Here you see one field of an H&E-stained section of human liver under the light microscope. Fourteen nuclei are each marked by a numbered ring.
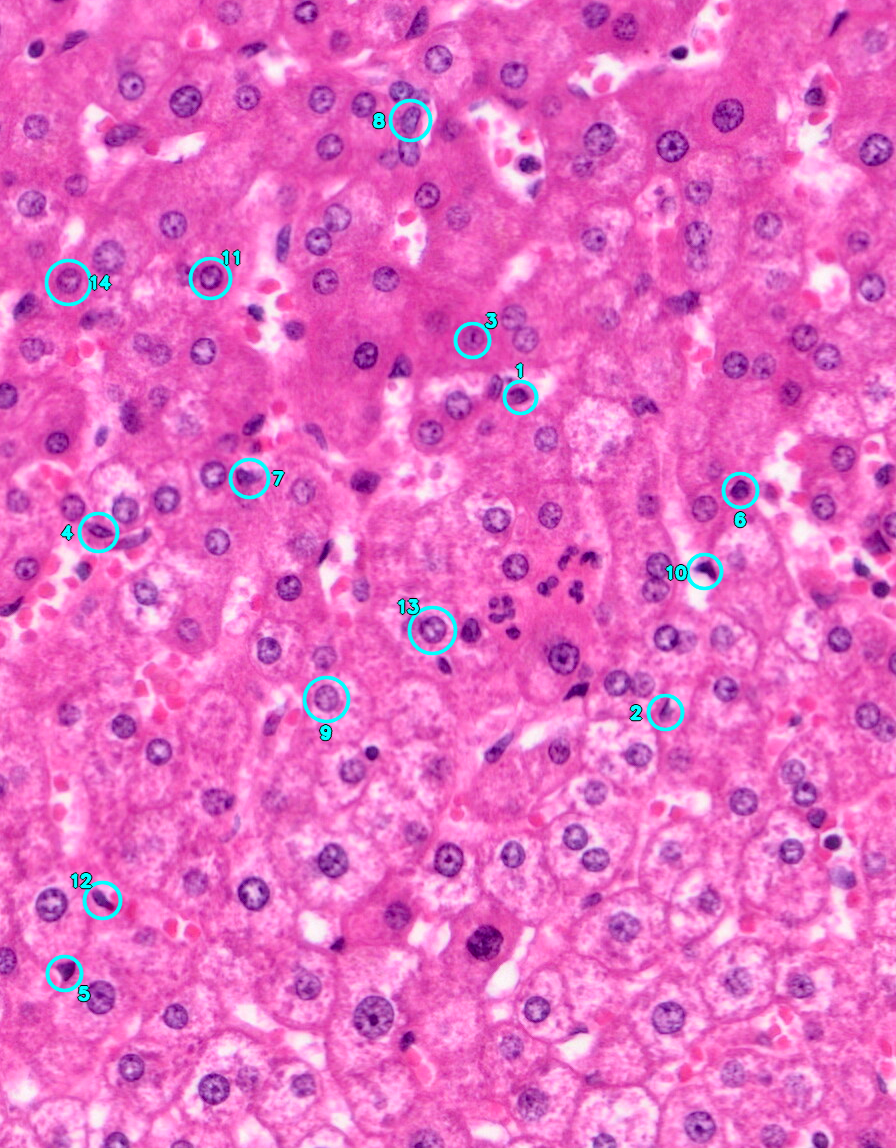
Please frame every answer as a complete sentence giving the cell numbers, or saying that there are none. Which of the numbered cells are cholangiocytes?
Exactly one of the numbered cells is a cholangiocyte, namely cell 8.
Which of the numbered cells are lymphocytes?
Among the marked cells, a lymphocyte is found only at number 12.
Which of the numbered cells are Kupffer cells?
Whereas cell 1 is a Kupffer cell, the other numbered cells are not.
